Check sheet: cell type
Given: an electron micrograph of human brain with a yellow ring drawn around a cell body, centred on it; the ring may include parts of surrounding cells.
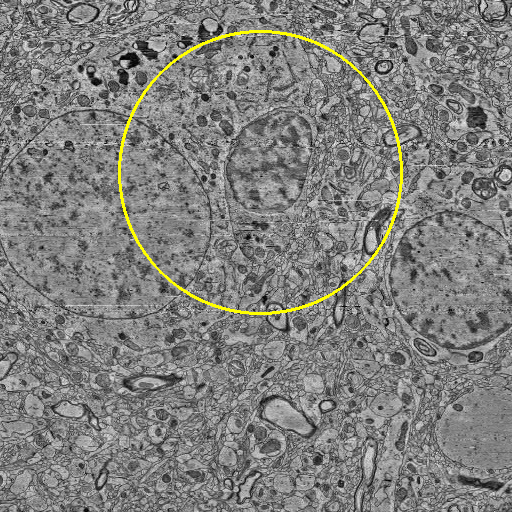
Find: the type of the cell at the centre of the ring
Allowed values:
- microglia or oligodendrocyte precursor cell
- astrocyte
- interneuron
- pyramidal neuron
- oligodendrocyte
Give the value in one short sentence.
Here the ringed cell is an oligodendrocyte.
